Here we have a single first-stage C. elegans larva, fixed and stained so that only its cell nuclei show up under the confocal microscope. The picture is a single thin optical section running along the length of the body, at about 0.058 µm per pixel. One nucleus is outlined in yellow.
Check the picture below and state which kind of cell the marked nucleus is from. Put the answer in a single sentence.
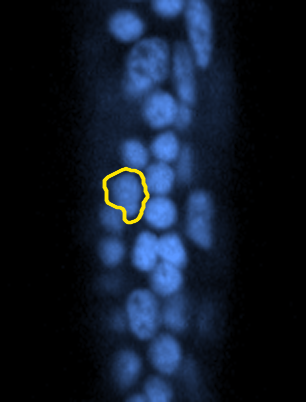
The marked cell is a neuron.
